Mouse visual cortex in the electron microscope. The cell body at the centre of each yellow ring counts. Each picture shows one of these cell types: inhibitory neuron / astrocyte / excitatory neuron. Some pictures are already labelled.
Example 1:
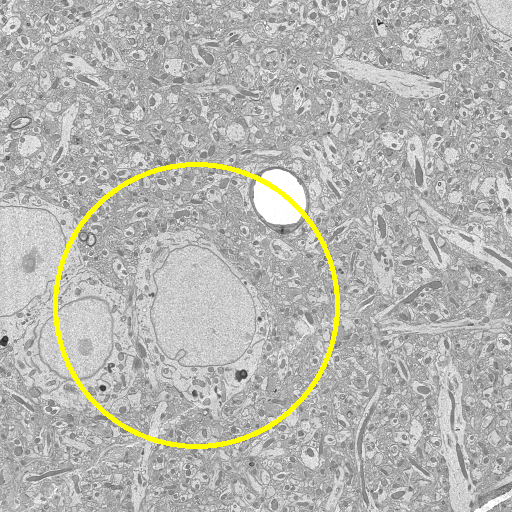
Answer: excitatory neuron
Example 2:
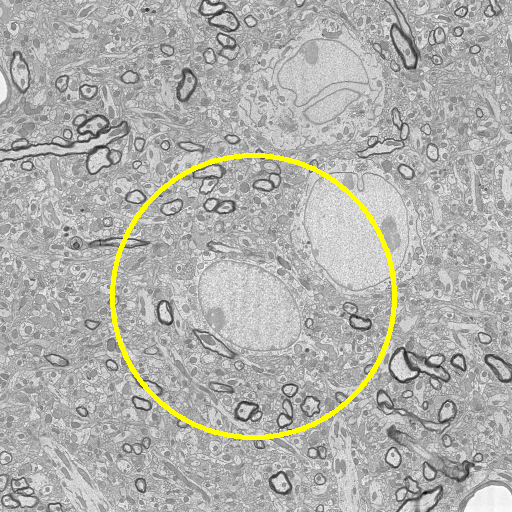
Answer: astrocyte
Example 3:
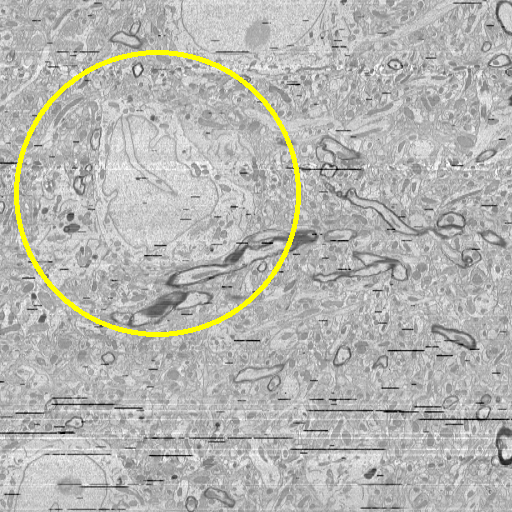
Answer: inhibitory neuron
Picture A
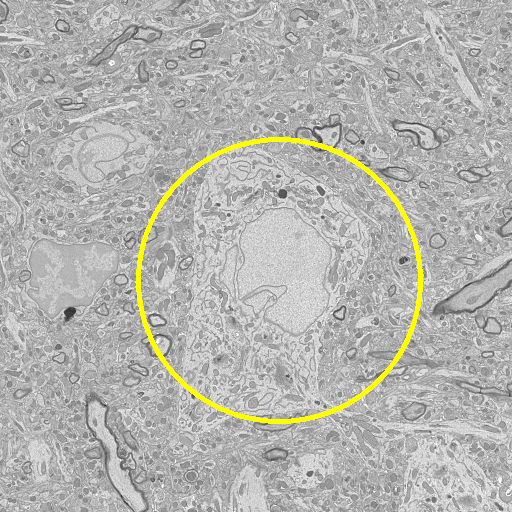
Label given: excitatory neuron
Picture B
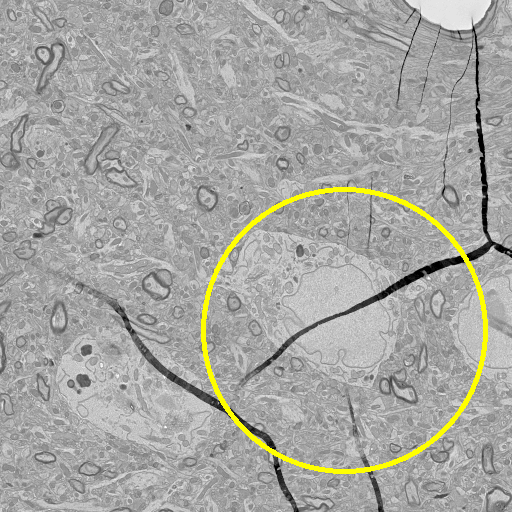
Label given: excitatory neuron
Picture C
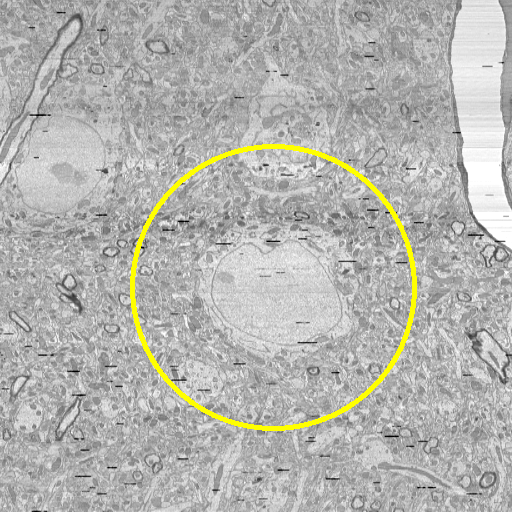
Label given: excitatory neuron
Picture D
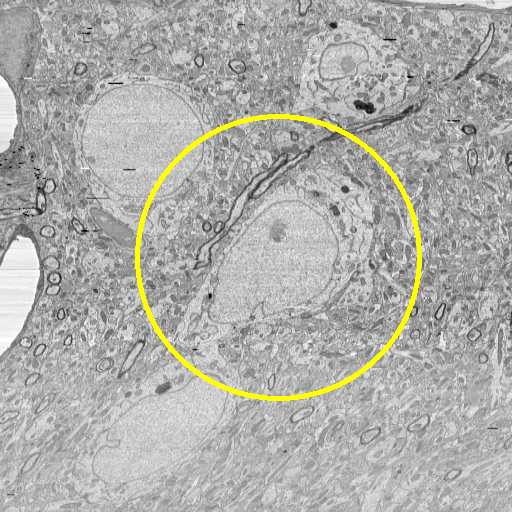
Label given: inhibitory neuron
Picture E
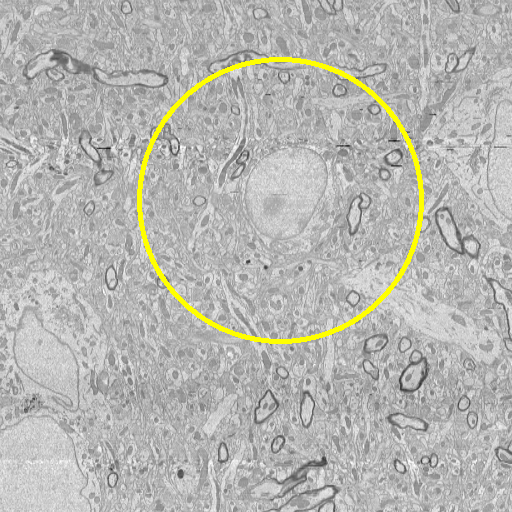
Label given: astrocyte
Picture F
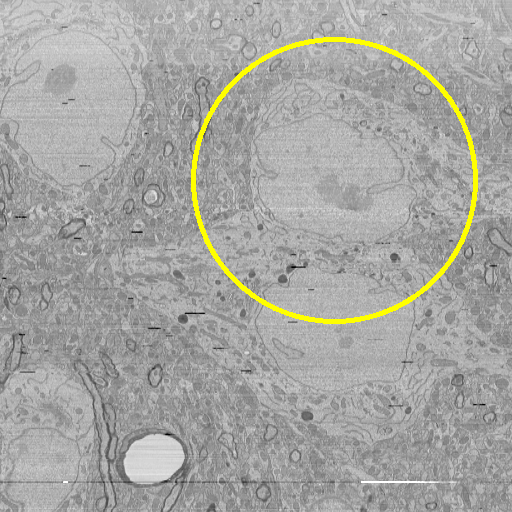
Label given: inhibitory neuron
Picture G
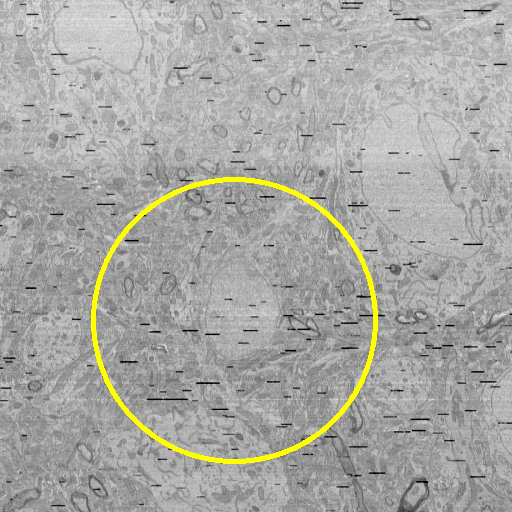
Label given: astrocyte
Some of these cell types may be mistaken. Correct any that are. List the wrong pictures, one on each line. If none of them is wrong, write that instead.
Wrong: A (excitatory neuron); correct: inhibitory neuron
Wrong: B (excitatory neuron); correct: inhibitory neuron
